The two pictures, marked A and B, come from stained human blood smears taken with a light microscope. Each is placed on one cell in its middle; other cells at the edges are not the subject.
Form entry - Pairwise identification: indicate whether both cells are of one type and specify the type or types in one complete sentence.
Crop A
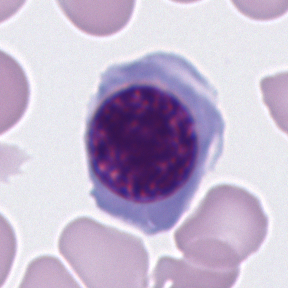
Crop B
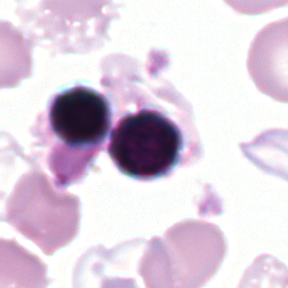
Yes, as an answer for this item, both crops show normoblasts.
